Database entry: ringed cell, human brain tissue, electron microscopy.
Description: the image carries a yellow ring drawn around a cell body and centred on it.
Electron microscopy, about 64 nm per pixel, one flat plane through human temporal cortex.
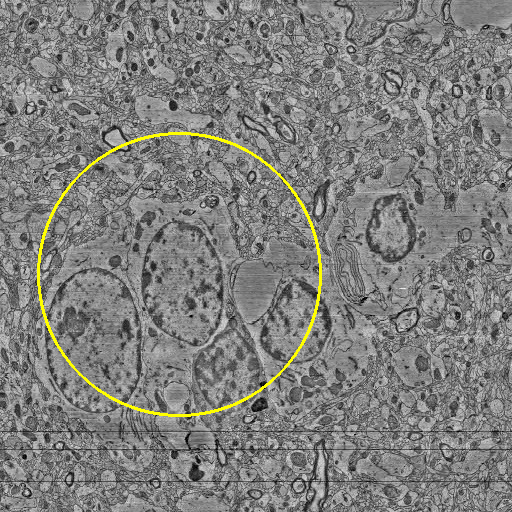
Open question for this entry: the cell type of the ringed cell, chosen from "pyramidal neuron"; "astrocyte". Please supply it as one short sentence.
The ringed cell is an astrocyte.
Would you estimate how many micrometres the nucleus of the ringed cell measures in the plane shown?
The nucleus measures about 8 by 5 micrometres, so it is clearly longer than it is wide in this plane.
